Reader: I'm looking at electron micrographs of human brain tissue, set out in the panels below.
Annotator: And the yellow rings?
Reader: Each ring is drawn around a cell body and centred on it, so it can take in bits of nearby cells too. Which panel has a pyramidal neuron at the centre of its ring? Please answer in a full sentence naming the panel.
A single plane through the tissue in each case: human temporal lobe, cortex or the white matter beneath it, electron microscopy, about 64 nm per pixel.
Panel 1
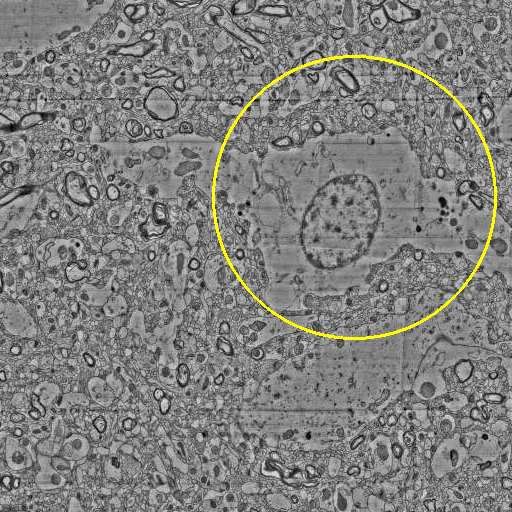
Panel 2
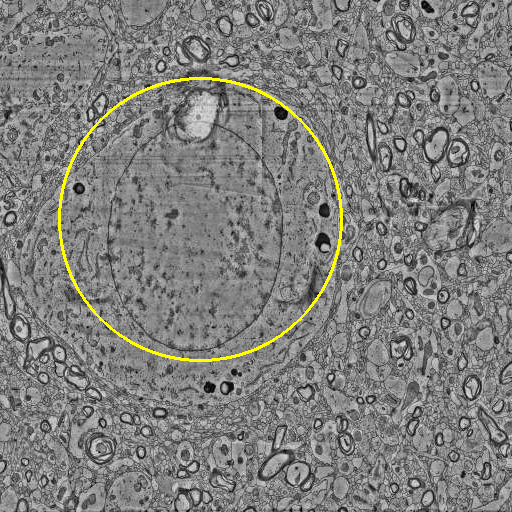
Panel 2 has it at the centre of its ring.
